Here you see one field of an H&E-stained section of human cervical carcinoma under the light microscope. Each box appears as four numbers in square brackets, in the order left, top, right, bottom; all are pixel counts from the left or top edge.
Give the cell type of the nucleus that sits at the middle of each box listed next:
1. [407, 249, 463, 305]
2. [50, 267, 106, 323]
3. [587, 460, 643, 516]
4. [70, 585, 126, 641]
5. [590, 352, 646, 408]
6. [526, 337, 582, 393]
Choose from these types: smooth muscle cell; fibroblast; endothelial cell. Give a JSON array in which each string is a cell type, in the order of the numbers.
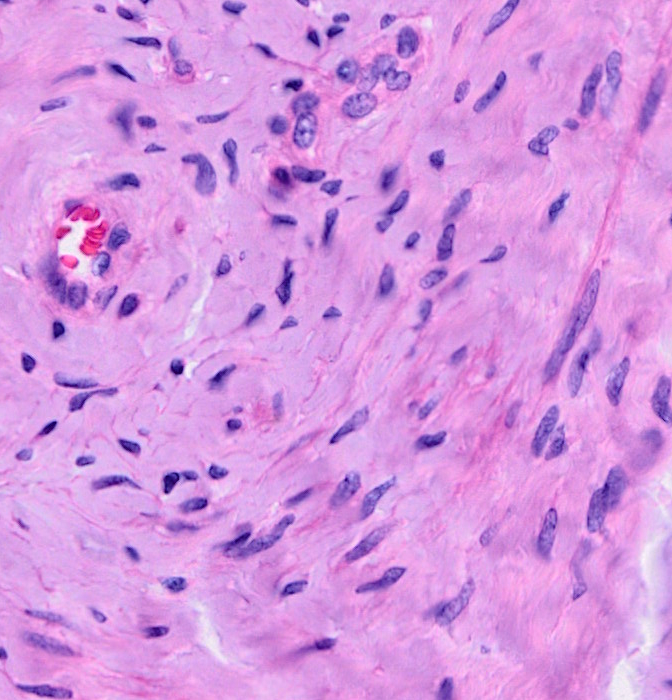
["fibroblast", "endothelial cell", "fibroblast", "fibroblast", "fibroblast", "smooth muscle cell"]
